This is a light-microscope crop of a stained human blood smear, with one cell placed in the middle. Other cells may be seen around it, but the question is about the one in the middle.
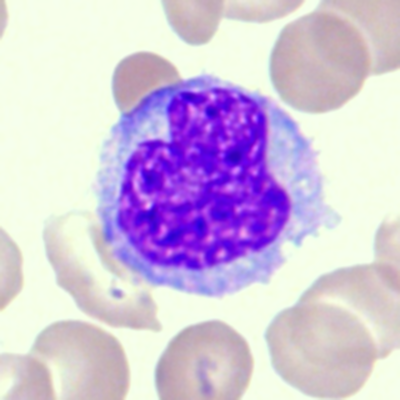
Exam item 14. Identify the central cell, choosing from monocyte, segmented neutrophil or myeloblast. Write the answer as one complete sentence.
Centrally within this crop lies a monocyte.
